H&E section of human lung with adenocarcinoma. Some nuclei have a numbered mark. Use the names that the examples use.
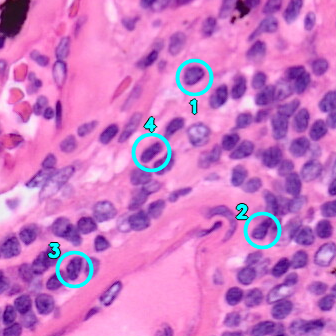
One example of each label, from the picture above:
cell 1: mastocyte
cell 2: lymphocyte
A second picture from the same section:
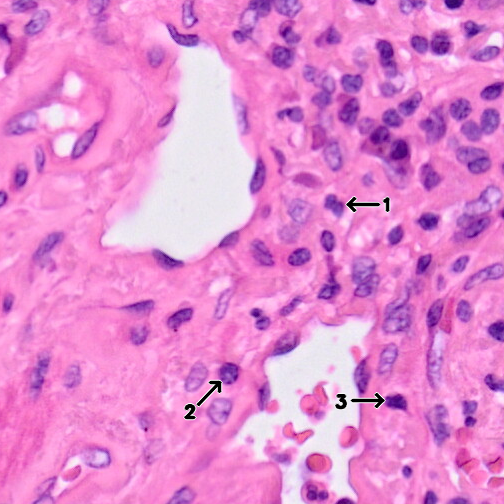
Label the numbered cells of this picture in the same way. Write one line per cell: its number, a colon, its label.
1: lymphocyte
2: mastocyte
3: lymphocyte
